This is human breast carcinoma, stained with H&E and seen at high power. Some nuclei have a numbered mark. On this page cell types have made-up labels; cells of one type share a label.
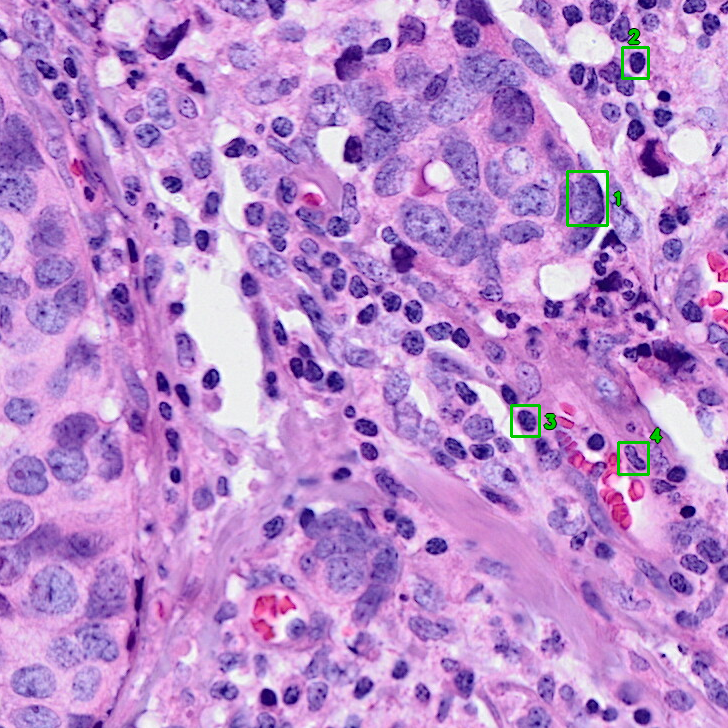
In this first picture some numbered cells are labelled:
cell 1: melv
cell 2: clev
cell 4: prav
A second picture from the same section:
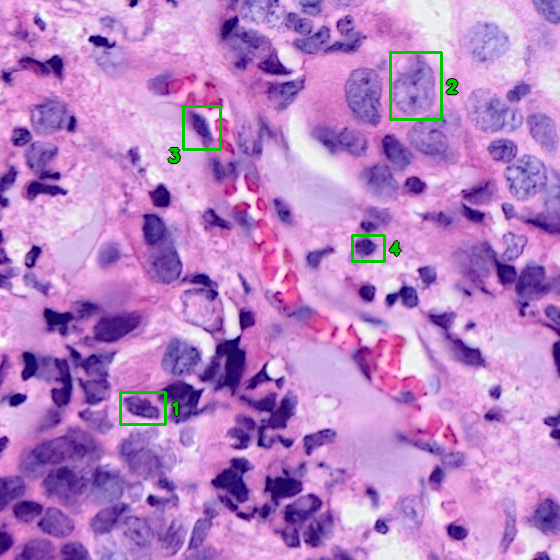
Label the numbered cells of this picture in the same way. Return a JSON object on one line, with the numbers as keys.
{"1": "melv", "2": "melv", "3": "prav", "4": "clev"}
